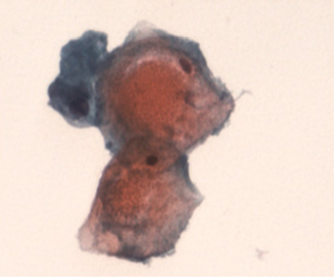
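This smear shows a small group of large, flattened squamous cells. Two of the cells have abundant orange-red cytoplasm with polygonal outlines and each holds a small, dark, round nucleus. A third cell at the upper left has blue-grey cytoplasm and darker nuclear material. The cells overlap at their edges and the background is clean and pale.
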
